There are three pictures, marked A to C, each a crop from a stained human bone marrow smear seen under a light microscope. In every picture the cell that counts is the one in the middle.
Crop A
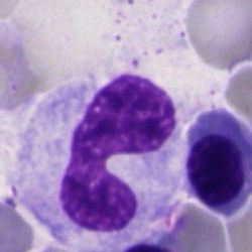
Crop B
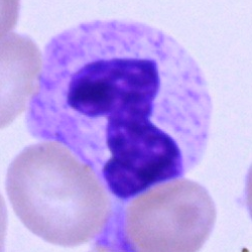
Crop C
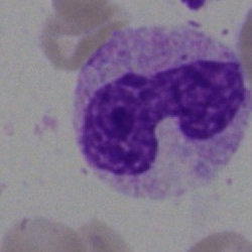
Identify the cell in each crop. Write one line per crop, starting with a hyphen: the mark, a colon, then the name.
- A: band neutrophil
- B: segmented neutrophil
- C: band neutrophil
